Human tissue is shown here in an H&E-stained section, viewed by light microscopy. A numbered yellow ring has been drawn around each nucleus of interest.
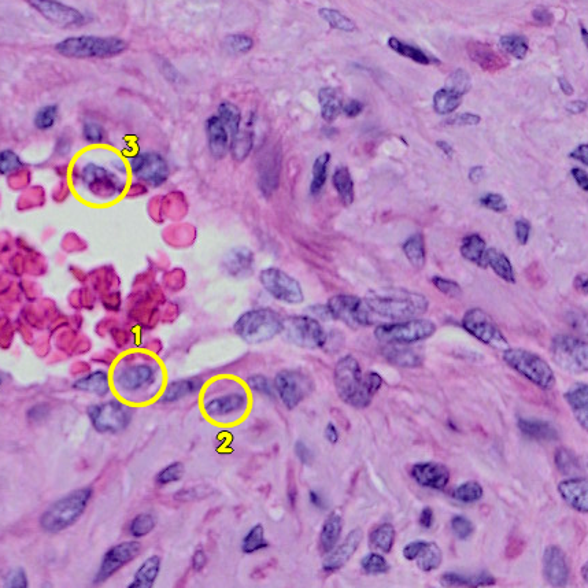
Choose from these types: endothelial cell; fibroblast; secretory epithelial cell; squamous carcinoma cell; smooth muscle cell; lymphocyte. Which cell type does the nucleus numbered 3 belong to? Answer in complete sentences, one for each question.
The correct label for cell 3 is an endothelial cell.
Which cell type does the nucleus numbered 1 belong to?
Belonging to an endothelial cell is the nucleus that carries the number 1.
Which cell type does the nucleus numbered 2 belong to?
The numeral 2 marks a smooth muscle cell in this section.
